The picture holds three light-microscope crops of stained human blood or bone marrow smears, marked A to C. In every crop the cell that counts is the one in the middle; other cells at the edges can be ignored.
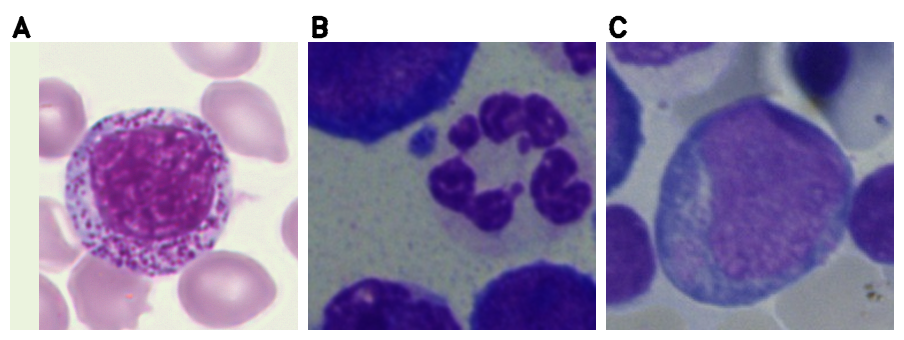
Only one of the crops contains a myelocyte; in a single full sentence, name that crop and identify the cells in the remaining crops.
As for the set, crop A shows a myelocyte, while crop B is a segmented neutrophil and crop C is a blast.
